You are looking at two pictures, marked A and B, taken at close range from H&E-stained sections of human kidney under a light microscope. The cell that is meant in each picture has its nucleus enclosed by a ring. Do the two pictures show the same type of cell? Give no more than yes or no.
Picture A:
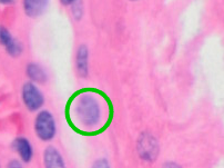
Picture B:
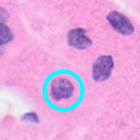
no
